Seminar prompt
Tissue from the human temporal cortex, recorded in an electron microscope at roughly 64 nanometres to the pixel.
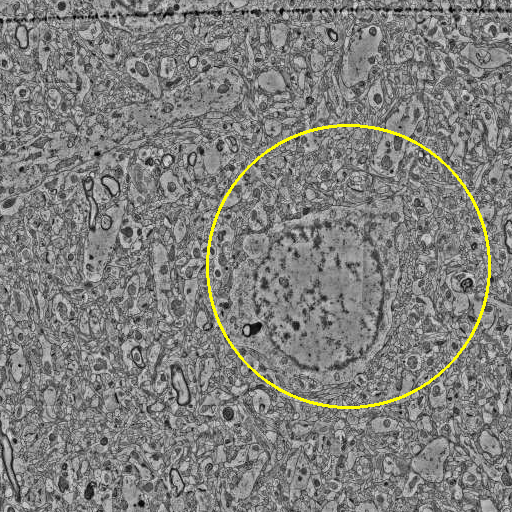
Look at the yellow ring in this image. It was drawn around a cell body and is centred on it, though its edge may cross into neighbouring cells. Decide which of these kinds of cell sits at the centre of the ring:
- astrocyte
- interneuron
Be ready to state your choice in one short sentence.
The kind of cell at the ring's centre is an interneuron.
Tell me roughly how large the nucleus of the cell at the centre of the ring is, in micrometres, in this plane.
About 9 micrometres across, as seen in this plane.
